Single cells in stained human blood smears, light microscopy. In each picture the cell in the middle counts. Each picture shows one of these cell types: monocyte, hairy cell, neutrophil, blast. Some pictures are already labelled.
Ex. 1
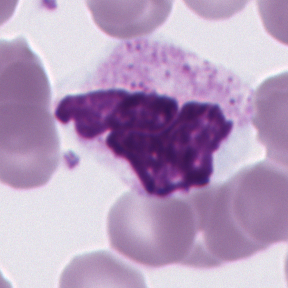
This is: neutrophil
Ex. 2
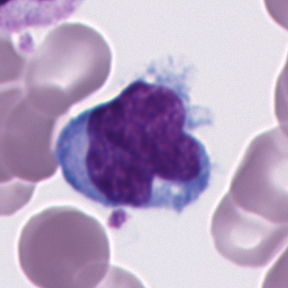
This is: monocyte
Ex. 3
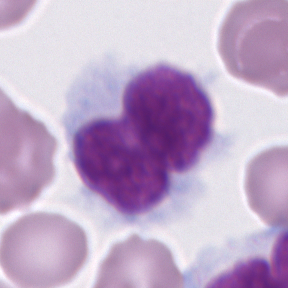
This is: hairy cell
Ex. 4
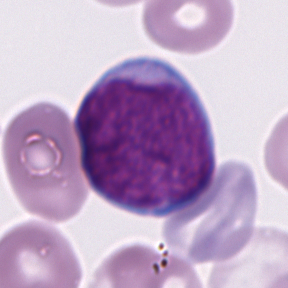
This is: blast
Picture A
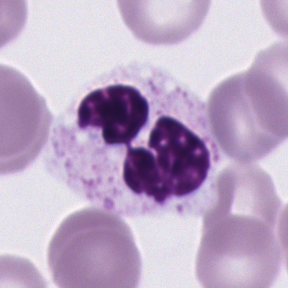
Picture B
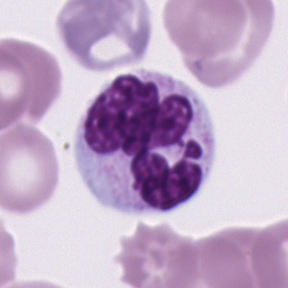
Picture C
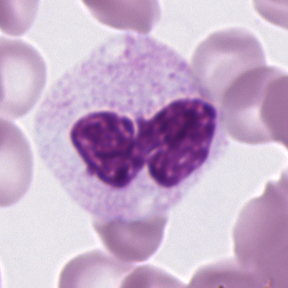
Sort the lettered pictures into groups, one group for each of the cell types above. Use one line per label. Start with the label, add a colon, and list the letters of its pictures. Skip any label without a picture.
neutrophil: A, B, C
